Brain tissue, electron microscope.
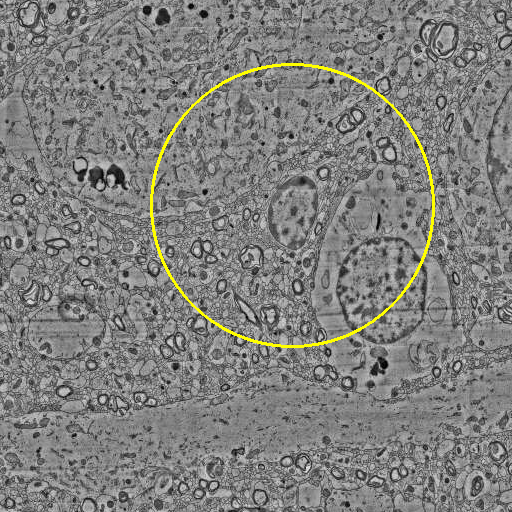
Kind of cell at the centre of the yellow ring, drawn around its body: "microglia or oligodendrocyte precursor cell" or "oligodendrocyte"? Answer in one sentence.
The ring's centre falls on a microglial cell or oligodendrocyte precursor cell.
